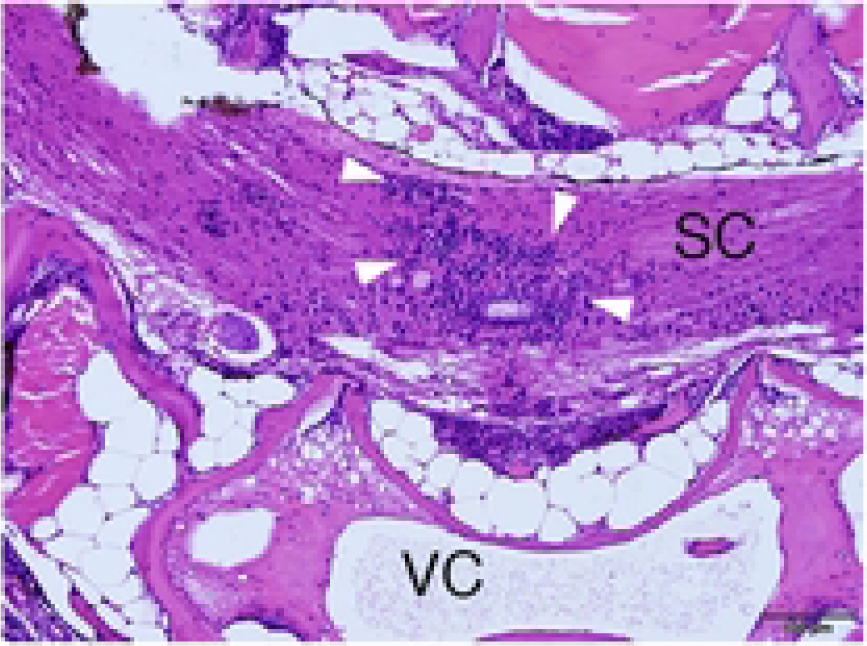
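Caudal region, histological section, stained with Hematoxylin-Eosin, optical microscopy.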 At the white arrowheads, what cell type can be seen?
immune cells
